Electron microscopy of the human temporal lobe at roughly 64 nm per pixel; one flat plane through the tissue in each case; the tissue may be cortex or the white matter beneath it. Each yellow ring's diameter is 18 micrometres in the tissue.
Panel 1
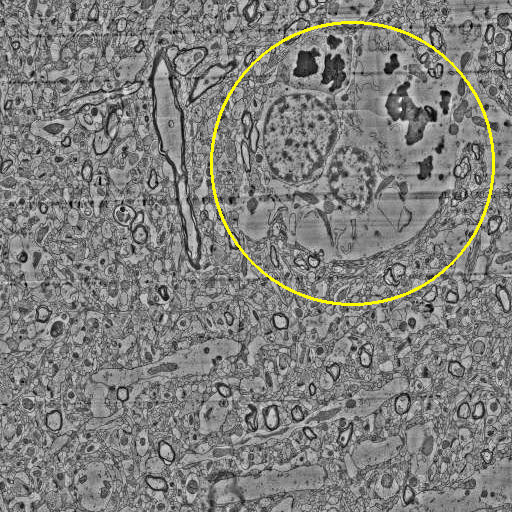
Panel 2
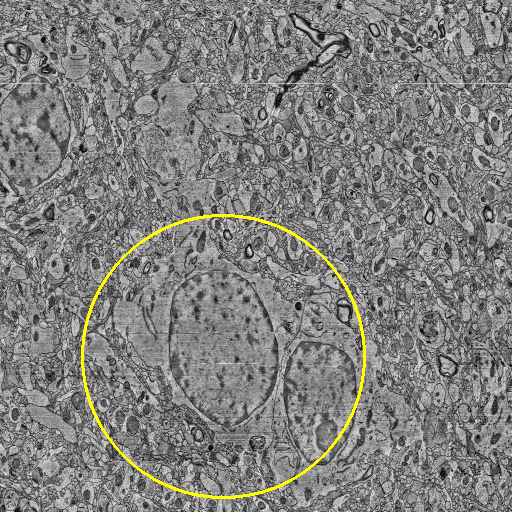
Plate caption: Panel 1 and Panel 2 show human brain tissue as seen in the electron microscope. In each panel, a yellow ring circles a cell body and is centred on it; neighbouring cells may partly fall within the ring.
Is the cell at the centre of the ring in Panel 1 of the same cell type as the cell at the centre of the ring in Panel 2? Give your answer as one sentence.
Yes, the two cells are of the same type.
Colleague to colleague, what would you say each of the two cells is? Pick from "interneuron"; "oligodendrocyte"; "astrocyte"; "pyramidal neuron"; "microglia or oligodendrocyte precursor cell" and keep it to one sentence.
Each one of the two ringed cells is an astrocyte.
